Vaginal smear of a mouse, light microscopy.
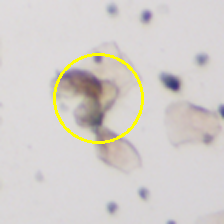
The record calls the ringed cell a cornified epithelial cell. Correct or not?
Correct; it is a cornified epithelial cell.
